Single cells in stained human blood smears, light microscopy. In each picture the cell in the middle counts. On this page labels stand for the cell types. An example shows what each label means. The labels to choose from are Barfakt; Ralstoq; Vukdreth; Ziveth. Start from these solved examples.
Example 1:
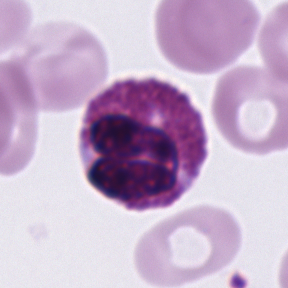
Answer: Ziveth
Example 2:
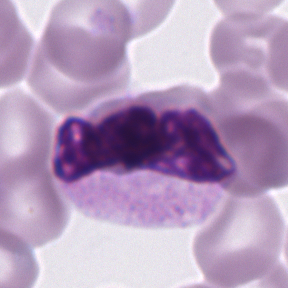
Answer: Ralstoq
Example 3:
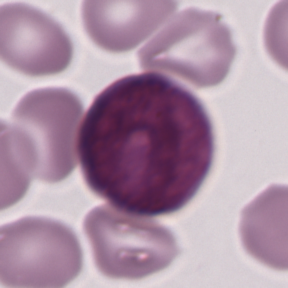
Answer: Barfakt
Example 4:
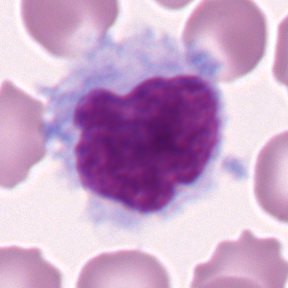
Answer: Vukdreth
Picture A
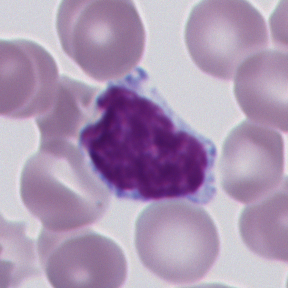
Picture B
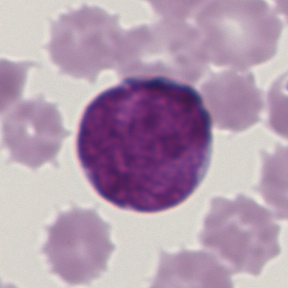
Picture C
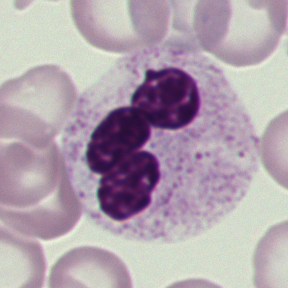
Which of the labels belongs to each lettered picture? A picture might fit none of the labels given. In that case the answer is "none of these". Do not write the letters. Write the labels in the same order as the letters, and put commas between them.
none of these, Barfakt, Ralstoq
